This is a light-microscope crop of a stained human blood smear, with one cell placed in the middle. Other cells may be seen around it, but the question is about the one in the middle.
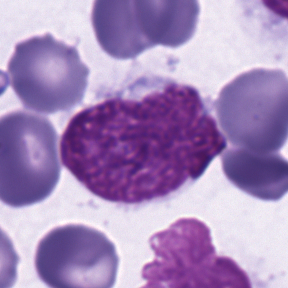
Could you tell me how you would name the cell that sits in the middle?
myeloblast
